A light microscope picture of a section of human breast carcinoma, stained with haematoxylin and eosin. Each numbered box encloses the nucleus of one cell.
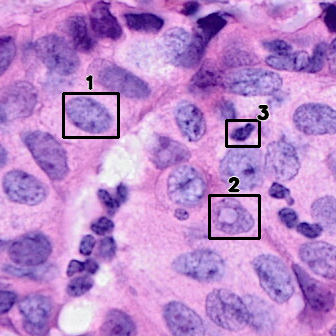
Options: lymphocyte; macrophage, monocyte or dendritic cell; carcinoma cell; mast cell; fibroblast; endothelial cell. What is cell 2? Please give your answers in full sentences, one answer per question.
Denoted by the label 2 in the section is a carcinoma cell.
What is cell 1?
The cell bearing label 1 corresponds to a carcinoma cell.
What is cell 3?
Heads up, the cell numbered 3 is a lymphocyte.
